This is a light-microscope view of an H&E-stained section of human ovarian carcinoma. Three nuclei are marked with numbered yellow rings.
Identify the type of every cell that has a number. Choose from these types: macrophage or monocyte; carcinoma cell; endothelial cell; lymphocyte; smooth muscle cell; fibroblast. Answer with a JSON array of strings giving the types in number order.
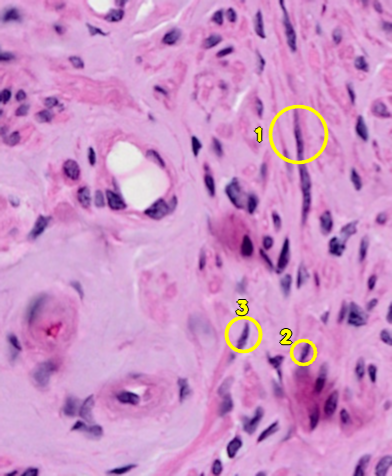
["smooth muscle cell", "smooth muscle cell", "fibroblast"]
